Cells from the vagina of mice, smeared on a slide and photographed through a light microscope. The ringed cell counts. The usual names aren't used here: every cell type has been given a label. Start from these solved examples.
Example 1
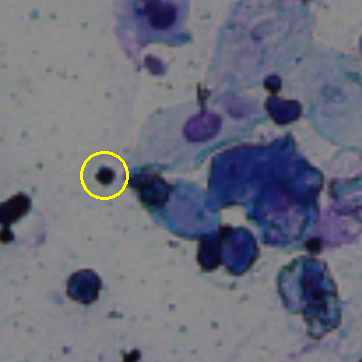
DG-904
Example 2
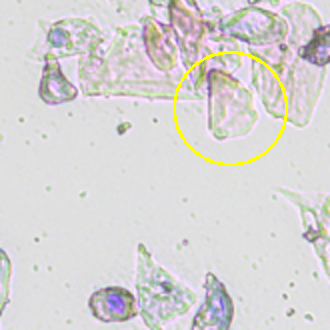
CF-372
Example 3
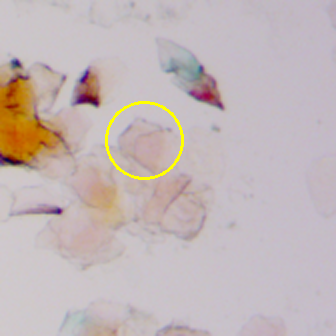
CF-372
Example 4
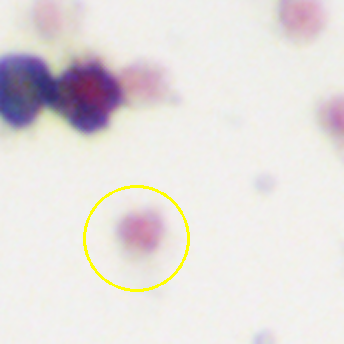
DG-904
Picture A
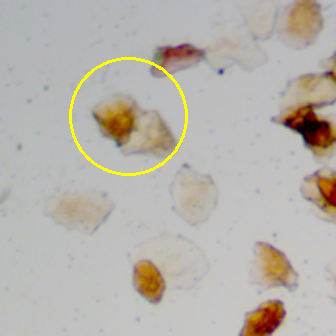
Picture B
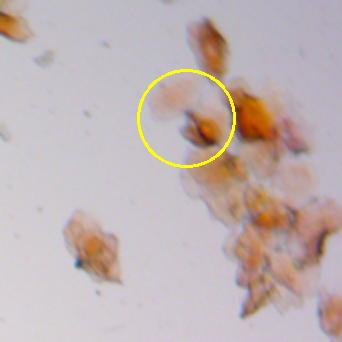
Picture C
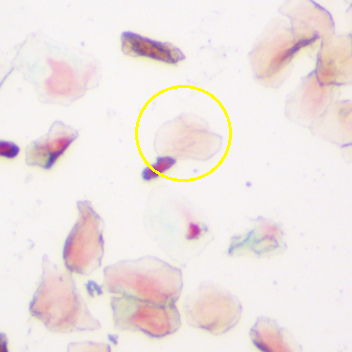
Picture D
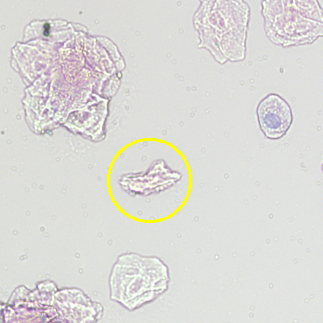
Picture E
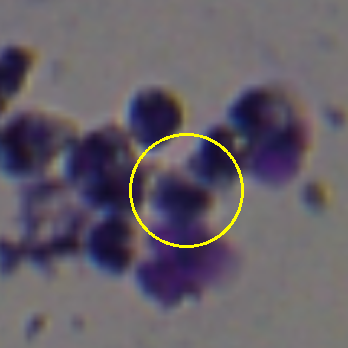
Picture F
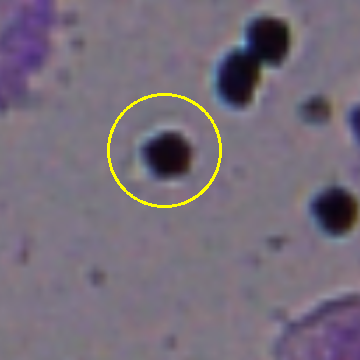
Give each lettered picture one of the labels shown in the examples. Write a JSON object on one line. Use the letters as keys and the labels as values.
{"A": "CF-372", "B": "CF-372", "C": "CF-372", "D": "CF-372", "E": "DG-904", "F": "DG-904"}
